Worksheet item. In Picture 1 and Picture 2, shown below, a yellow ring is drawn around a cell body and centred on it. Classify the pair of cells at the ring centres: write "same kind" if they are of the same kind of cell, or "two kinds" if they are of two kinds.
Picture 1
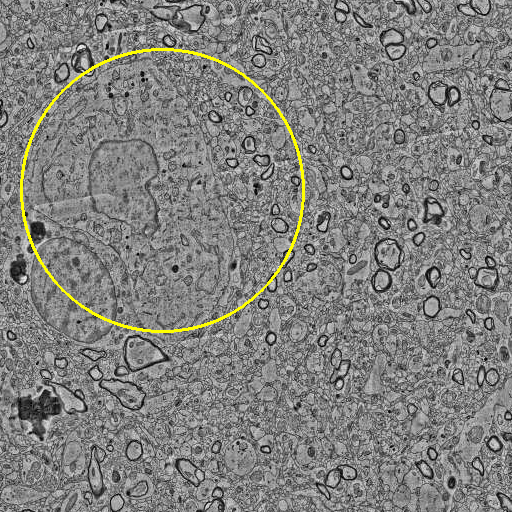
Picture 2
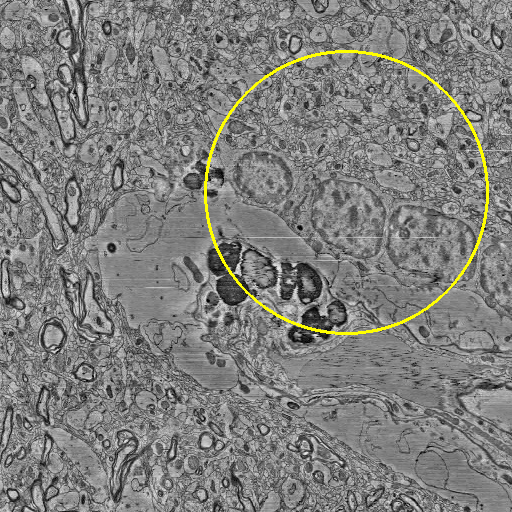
same kind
